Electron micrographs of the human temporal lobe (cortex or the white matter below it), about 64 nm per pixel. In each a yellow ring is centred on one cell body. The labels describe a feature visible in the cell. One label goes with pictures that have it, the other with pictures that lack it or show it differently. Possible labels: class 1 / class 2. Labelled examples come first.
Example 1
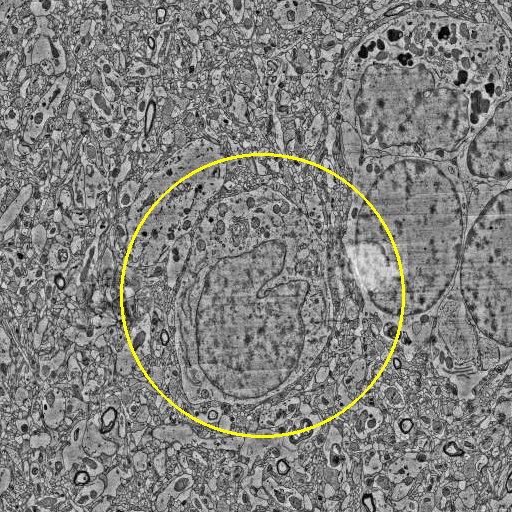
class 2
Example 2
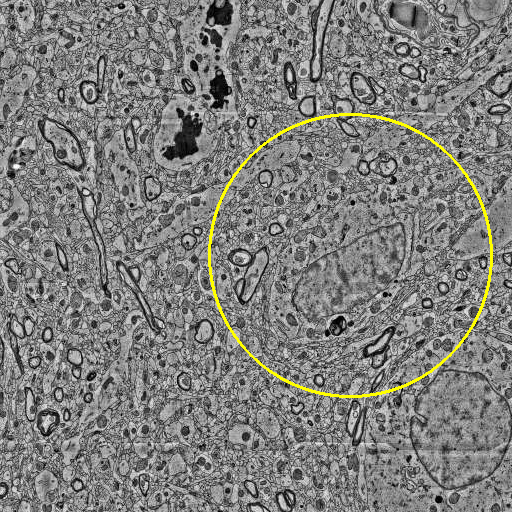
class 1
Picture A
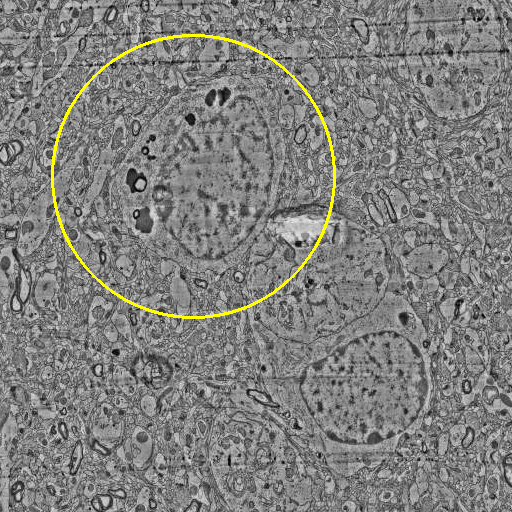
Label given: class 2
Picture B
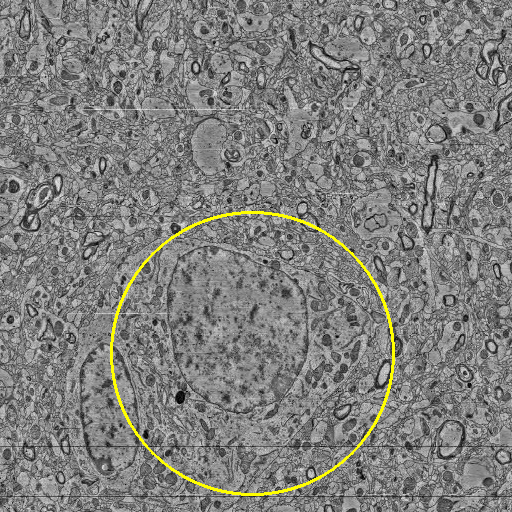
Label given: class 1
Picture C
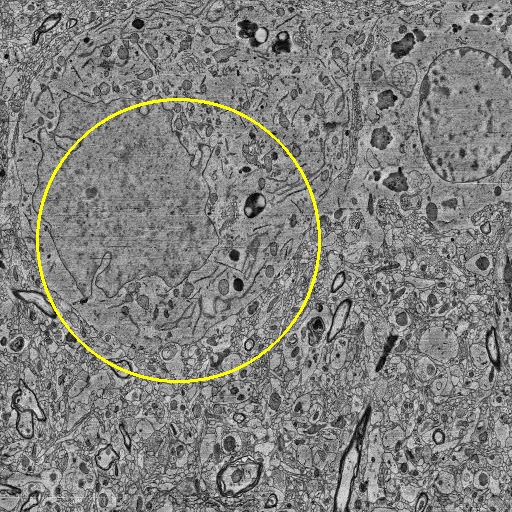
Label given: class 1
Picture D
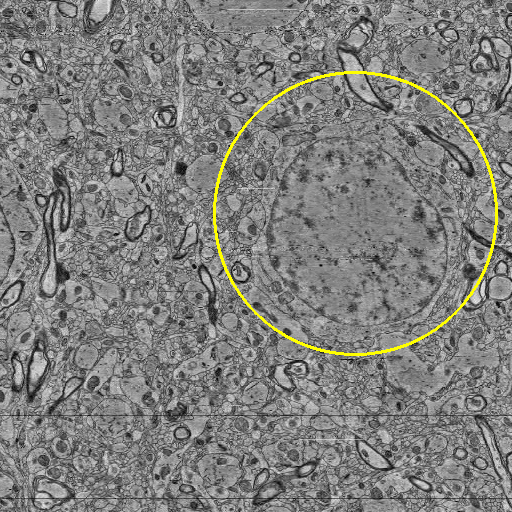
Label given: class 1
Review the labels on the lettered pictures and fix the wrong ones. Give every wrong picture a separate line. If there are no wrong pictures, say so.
Wrong: A (class 2); correct: class 1
Wrong: C (class 1); correct: class 2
